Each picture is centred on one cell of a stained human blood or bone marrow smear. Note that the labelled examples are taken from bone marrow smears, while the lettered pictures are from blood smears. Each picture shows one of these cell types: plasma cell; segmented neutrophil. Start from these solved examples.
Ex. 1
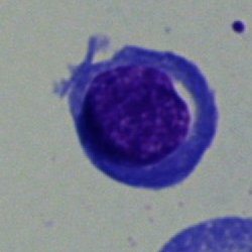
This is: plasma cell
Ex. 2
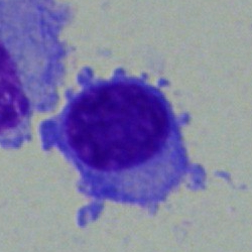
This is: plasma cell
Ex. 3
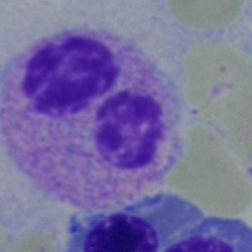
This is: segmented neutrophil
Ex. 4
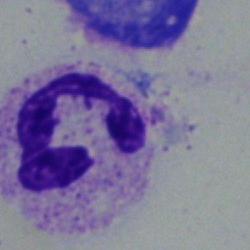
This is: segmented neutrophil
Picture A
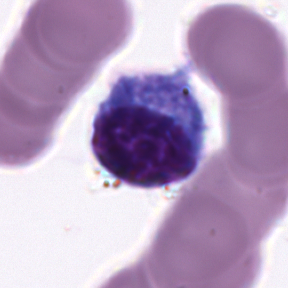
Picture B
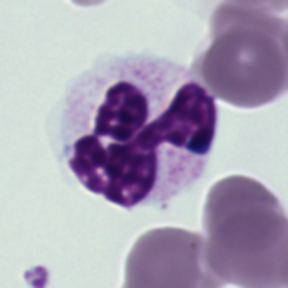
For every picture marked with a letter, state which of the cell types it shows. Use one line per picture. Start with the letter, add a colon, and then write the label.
A: plasma cell
B: segmented neutrophil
